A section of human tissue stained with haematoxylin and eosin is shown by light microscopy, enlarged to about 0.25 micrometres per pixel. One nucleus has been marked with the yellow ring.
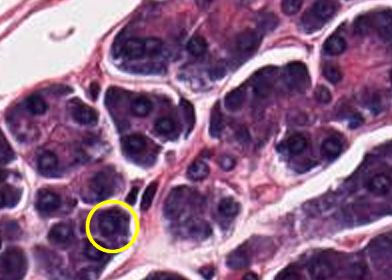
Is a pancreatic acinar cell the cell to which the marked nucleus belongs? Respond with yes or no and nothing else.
yes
